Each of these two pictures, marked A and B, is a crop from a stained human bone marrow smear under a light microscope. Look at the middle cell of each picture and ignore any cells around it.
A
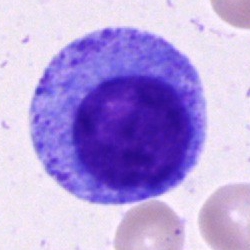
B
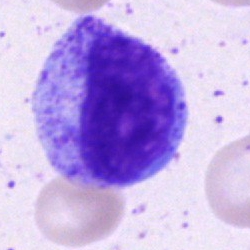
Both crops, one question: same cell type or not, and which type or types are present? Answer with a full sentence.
Yes, the cells that both crops show at the centre are promyelocytes.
